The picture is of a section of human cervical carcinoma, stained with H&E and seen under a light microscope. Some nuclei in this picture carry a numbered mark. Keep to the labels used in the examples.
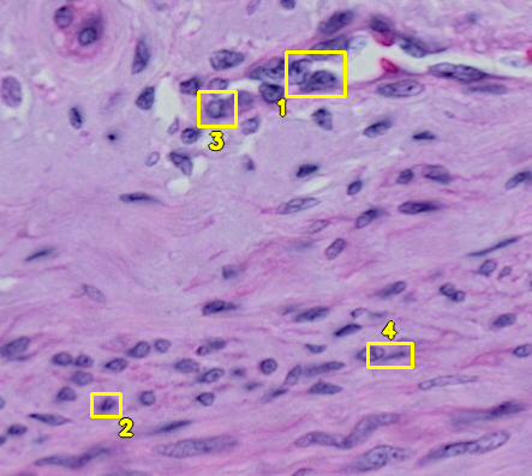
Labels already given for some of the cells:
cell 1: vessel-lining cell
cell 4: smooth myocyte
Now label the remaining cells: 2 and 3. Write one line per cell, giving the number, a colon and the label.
2: smooth myocyte
3: vessel-lining cell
